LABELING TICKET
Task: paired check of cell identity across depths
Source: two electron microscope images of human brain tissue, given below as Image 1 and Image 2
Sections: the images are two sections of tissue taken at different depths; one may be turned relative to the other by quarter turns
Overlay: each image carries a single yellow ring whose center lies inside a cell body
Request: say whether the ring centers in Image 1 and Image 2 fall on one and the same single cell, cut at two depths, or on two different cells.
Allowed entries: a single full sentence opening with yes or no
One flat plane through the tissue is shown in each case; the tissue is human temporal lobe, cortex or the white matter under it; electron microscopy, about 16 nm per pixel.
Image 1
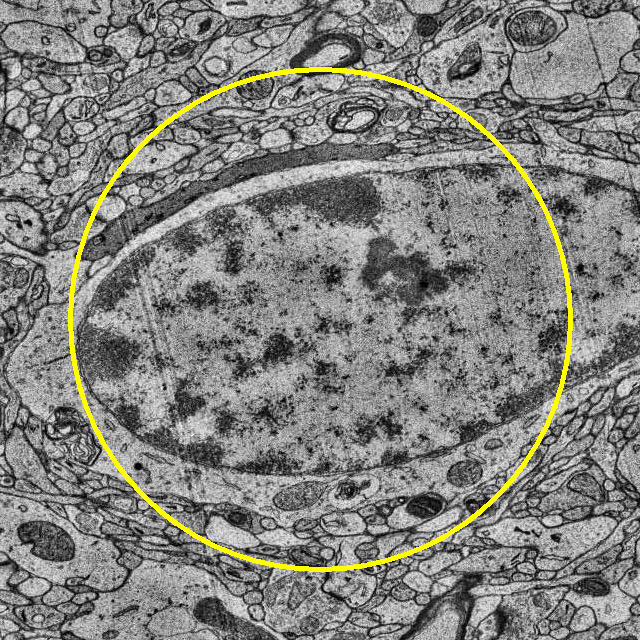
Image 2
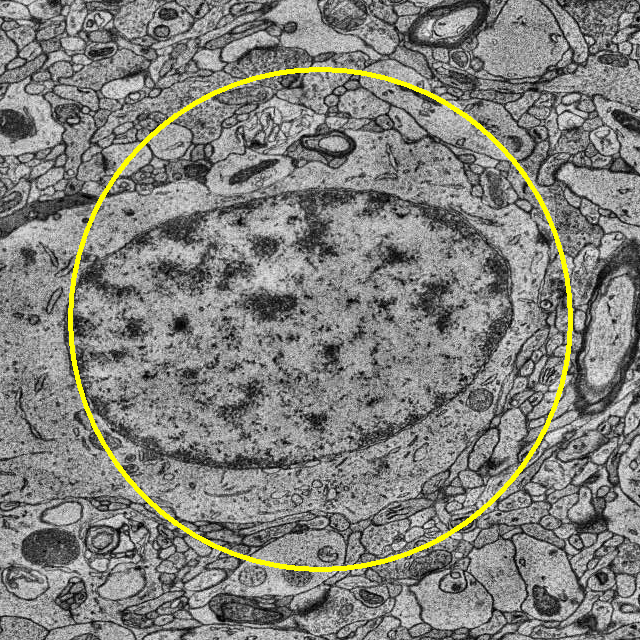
Yes, both rings identify a single, shared cell.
